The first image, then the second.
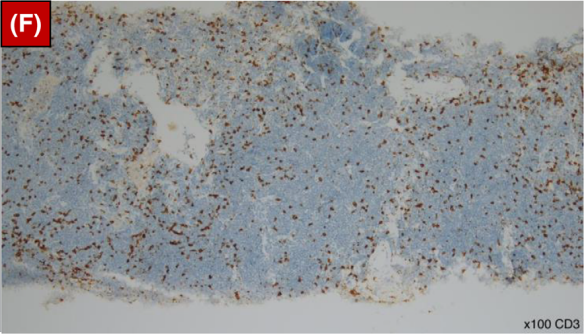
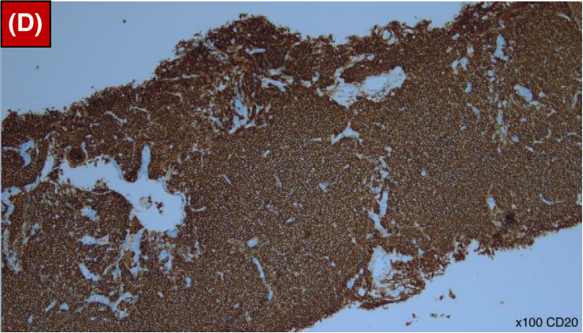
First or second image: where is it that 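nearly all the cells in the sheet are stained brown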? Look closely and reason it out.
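First image: most cells are blue, with only scattered brown cells. Second image: the whole cellular sheet is diffusely dark brown.
Answer: the second image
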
